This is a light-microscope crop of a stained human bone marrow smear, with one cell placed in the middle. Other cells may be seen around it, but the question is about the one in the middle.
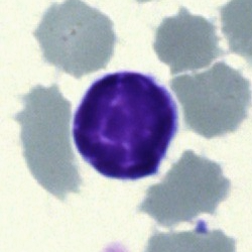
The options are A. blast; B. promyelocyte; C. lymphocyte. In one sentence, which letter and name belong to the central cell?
The correct option, C, names the middle cell as a lymphocyte.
